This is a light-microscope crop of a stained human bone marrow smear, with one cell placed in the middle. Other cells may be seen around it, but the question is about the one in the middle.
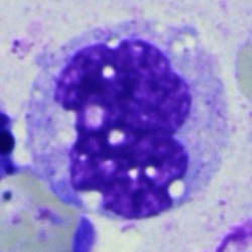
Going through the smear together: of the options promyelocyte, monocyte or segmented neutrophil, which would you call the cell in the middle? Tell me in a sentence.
The identification for the central cell is a monocyte.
